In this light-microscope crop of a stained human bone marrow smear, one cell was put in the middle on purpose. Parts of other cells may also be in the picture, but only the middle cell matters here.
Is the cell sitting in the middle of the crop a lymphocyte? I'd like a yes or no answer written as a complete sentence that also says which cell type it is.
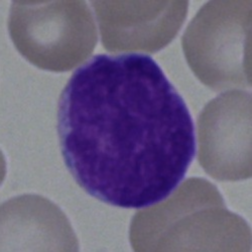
No, the central cell is a blast; it should not be labelled a lymphocyte.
